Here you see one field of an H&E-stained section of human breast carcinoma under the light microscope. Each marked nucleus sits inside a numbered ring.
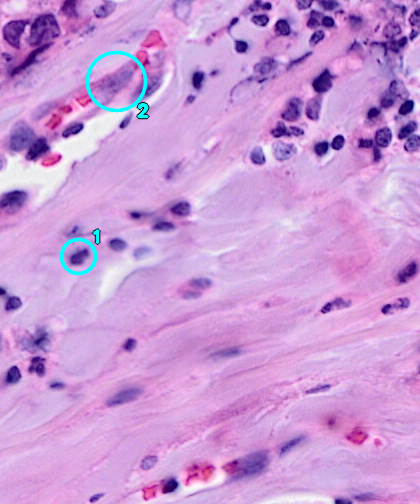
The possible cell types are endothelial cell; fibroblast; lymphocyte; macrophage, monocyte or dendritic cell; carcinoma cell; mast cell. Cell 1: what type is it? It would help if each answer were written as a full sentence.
Among the marked nuclei, number 1 belongs to a lymphocyte.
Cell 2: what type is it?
Regarding cell 2, this one is an endothelial cell.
